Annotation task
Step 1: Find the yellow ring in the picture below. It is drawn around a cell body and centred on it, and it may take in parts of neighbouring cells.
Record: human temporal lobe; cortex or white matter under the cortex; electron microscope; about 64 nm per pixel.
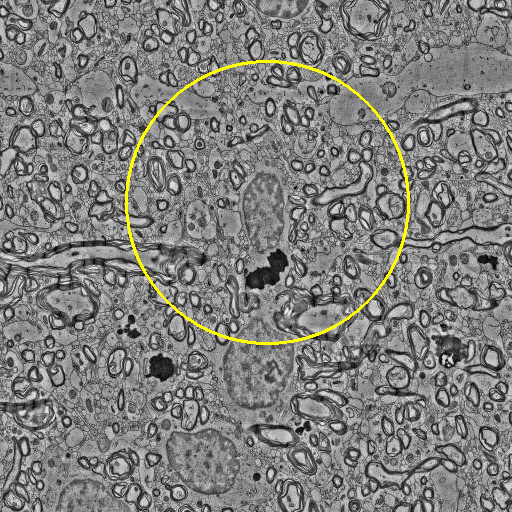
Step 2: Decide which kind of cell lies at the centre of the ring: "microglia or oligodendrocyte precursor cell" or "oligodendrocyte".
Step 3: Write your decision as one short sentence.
The kind of cell at the ring's centre is an oligodendrocyte.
